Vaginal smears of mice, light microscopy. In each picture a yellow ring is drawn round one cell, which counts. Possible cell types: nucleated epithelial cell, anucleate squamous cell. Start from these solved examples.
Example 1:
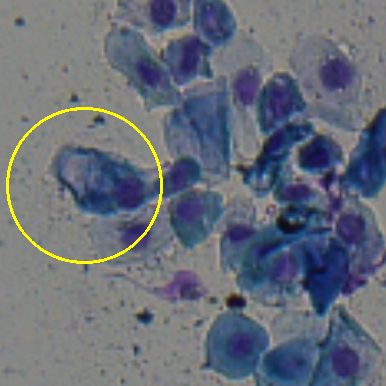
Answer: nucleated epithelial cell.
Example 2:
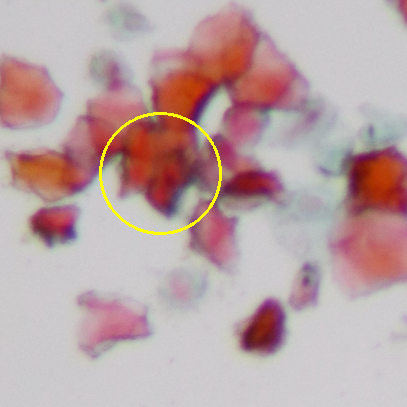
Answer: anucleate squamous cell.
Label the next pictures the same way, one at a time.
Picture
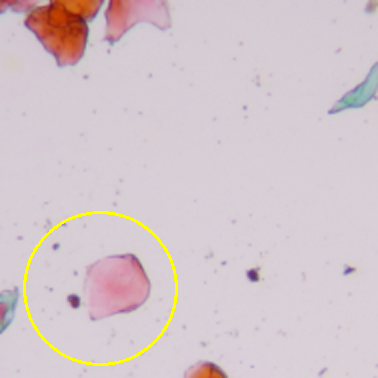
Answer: anucleate squamous cell.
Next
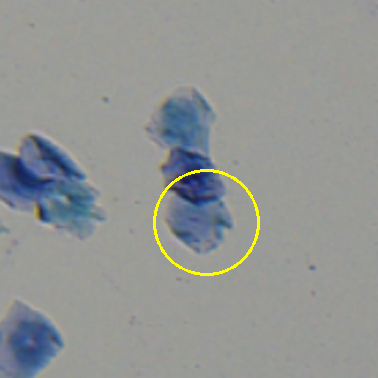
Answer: anucleate squamous cell.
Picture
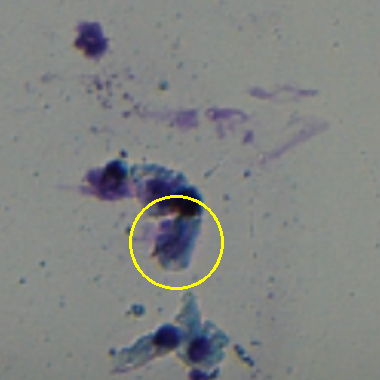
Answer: nucleated epithelial cell.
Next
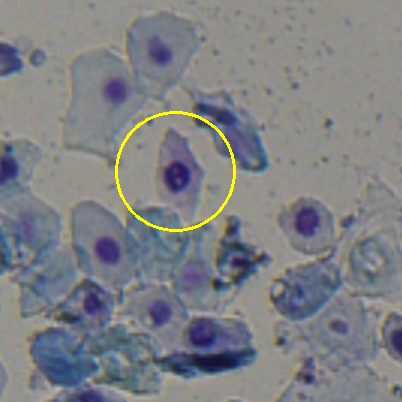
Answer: nucleated epithelial cell.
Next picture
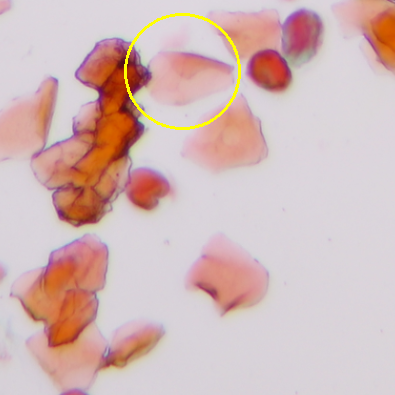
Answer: anucleate squamous cell.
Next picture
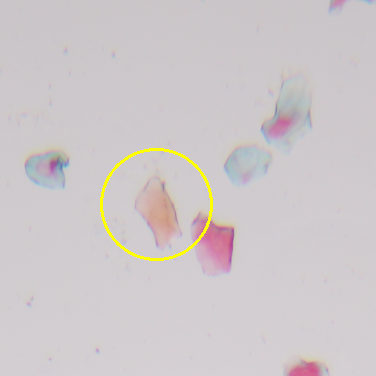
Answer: anucleate squamous cell.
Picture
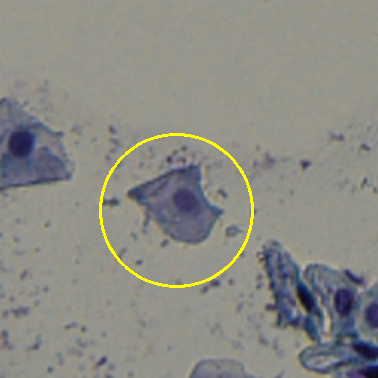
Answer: nucleated epithelial cell.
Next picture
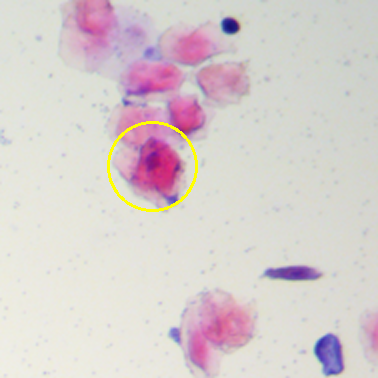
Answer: anucleate squamous cell.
